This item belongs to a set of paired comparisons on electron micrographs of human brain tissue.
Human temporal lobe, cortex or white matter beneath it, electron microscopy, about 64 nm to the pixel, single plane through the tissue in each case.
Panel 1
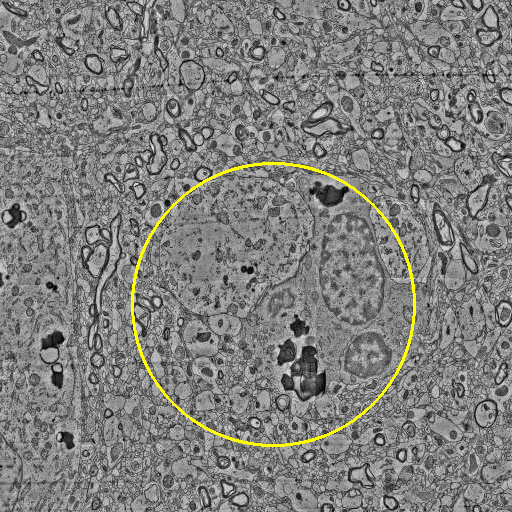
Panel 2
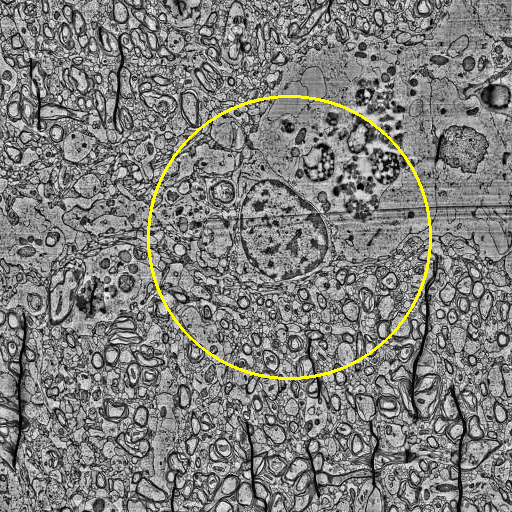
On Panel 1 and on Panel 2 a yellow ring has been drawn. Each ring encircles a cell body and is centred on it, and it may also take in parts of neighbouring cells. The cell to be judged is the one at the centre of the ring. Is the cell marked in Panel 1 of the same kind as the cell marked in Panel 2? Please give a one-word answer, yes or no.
no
